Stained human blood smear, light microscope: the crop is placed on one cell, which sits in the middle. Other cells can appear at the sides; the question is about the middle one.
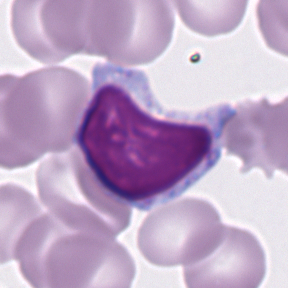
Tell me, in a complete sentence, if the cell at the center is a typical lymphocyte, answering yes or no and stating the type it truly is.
Yes, the cell that occupies the centre is a typical lymphocyte.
